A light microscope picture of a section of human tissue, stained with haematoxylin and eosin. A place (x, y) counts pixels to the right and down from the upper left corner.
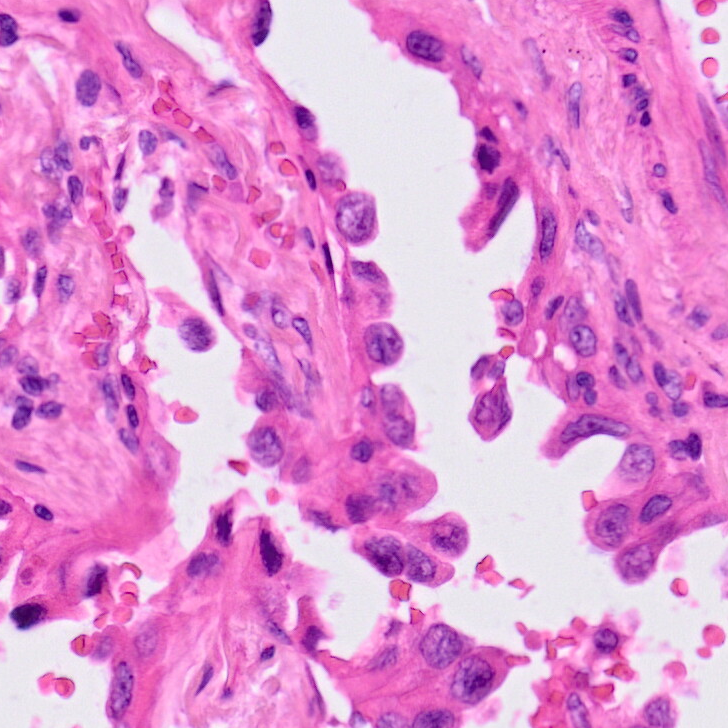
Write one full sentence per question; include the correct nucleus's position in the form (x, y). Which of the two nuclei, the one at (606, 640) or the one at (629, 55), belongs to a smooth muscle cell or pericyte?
The nucleus at (629, 55) is the one of the two that belongs to a smooth muscle cell or pericyte.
